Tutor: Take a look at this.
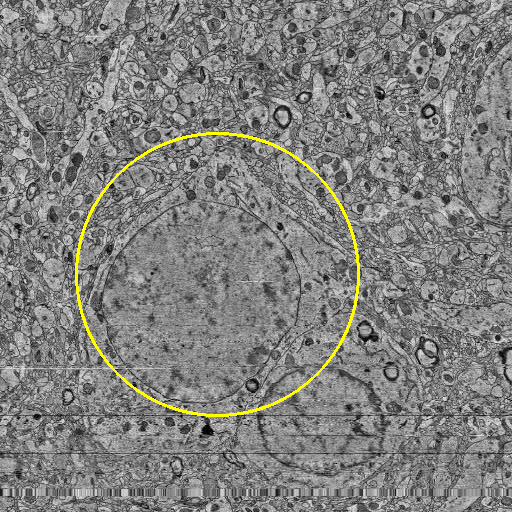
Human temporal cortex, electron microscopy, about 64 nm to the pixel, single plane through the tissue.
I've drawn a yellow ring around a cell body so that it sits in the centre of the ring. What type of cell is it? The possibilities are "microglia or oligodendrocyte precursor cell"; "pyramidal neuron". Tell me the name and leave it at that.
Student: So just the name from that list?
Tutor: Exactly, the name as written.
pyramidal neuron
